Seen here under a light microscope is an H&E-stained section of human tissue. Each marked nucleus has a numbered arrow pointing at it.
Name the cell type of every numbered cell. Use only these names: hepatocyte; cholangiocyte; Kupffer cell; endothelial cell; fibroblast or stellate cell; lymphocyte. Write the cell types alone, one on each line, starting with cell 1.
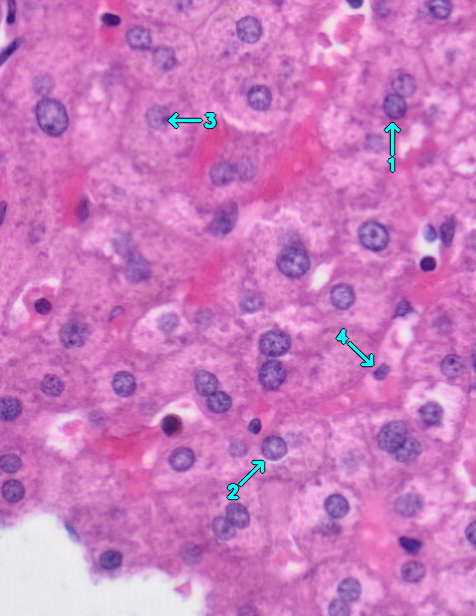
hepatocyte
hepatocyte
hepatocyte
lymphocyte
